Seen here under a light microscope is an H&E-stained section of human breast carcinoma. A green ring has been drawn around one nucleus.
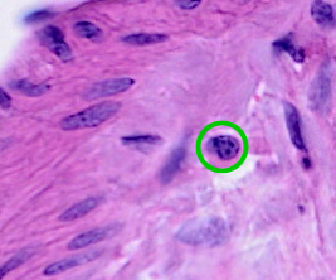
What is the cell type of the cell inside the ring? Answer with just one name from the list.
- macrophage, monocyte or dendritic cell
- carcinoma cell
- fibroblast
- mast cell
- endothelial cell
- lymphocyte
mast cell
